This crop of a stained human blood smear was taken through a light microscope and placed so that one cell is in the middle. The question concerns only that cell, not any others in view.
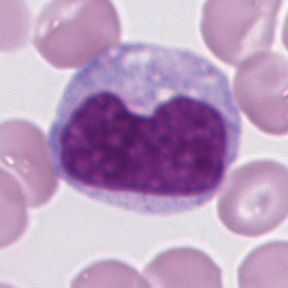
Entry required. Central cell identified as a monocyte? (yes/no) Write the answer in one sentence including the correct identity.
Yes, the cell in the middle of the crop is a monocyte.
